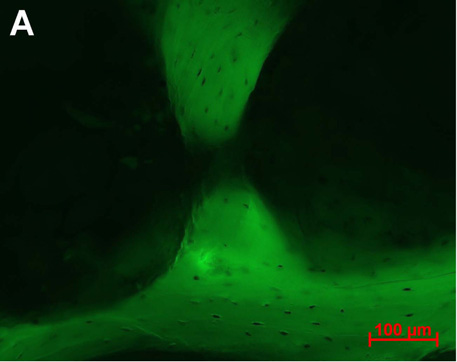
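This shows trabeculae of cancellous bone, with a green fluorescent matrix holding many osteocytes in their lacunae. One narrow trabecula narrows to a waist and joins a broad horizontal trabecula below. The osteocytes appear as small, dark, spindle-shaped spots. In the lower trabecula their long axes lie roughly parallel to its length. The spaces between the trabeculae are dark marrow spaces.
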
